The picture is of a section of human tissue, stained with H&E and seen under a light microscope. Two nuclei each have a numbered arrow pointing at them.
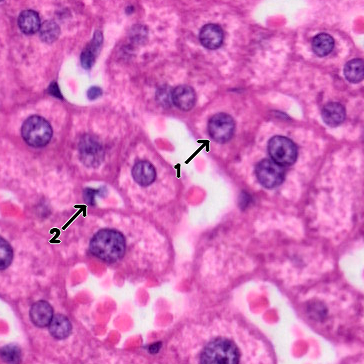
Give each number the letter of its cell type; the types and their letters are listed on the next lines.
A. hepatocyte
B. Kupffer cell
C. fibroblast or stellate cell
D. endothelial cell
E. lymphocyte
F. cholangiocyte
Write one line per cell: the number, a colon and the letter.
1: A
2: D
